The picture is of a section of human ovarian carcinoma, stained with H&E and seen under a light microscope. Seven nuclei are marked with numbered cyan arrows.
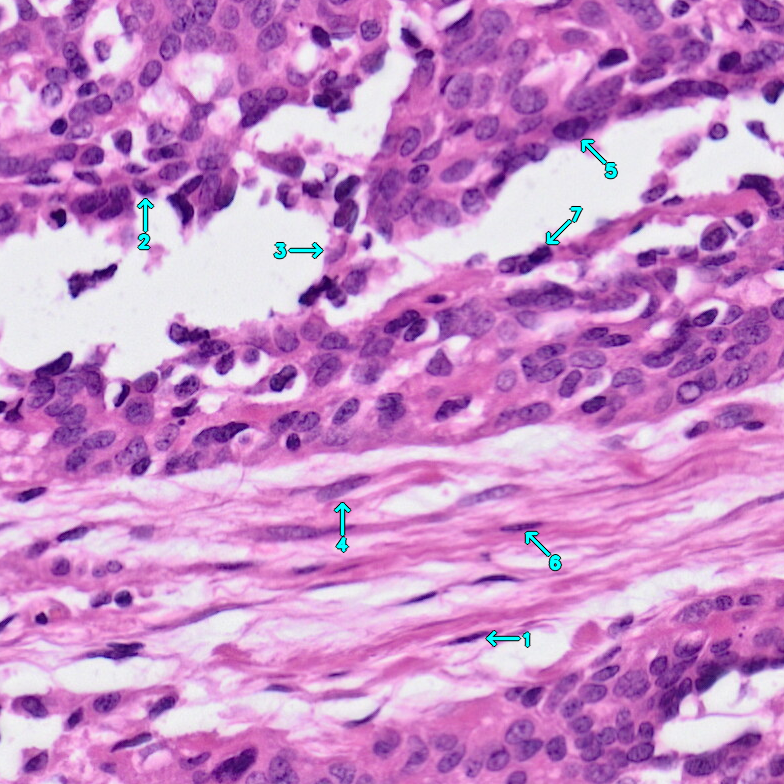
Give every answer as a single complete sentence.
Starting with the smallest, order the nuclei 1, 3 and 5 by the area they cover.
Smallest first, the nuclei run 1, 3, 5.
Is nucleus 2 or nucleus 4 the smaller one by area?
With nucleus 4 about 3 times its size, nucleus 2 is the smaller of the two.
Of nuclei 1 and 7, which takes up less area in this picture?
The smaller nucleus is 1, and 7 covers roughly 1.5 times its area.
